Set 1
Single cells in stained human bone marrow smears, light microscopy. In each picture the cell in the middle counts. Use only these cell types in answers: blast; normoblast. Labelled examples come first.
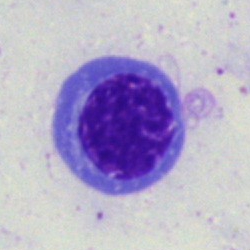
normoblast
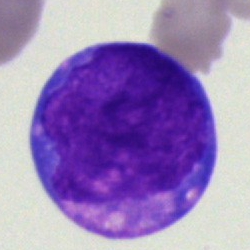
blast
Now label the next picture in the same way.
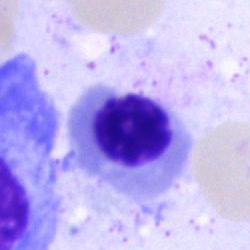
normoblast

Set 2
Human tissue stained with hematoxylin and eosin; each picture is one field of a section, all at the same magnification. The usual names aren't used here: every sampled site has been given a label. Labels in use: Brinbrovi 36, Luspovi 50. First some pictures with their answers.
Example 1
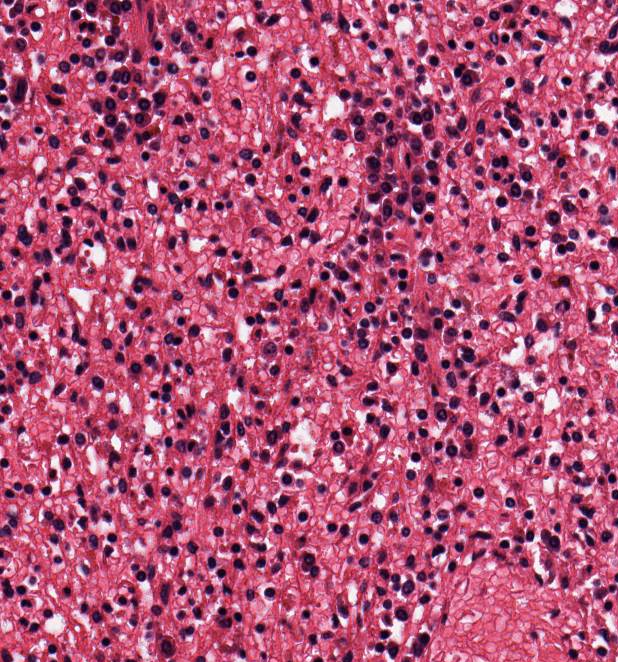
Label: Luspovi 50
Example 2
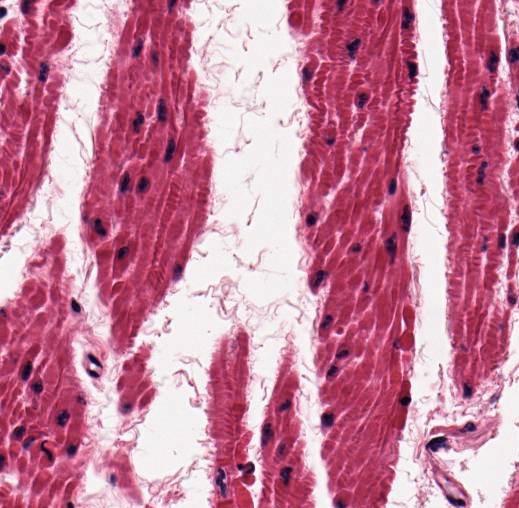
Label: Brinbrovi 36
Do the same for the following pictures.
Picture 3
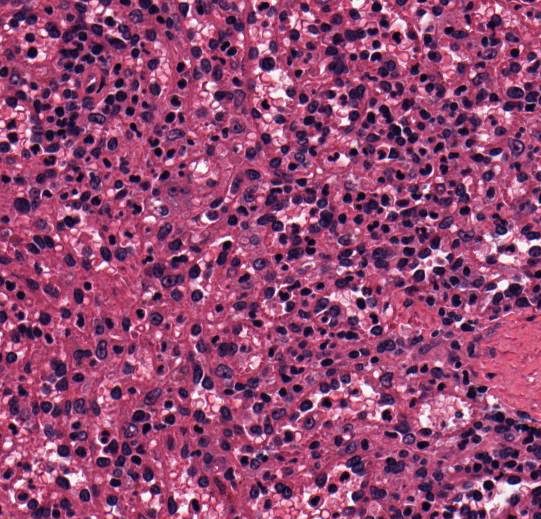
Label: Luspovi 50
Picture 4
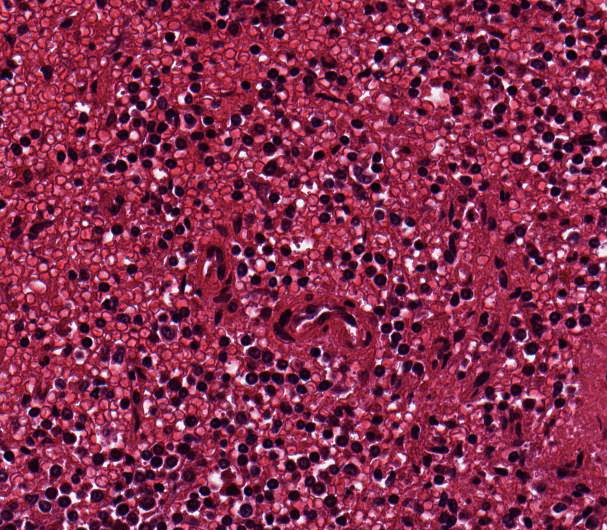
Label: Luspovi 50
